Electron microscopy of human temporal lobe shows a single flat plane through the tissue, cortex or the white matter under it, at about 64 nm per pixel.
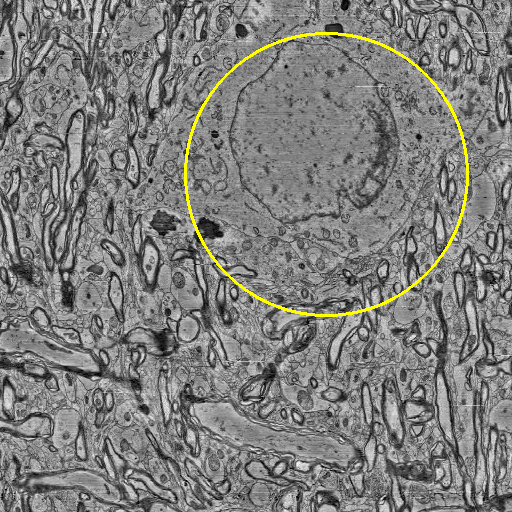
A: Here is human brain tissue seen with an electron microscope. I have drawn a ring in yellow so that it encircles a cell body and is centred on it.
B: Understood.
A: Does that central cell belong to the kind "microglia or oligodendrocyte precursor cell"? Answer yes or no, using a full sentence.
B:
No, the central cell inside your yellow ring belongs to another kind.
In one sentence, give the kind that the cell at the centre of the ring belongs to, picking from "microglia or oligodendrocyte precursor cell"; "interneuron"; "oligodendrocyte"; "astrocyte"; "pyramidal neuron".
Sitting at the ring centre is a pyramidal neuron.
